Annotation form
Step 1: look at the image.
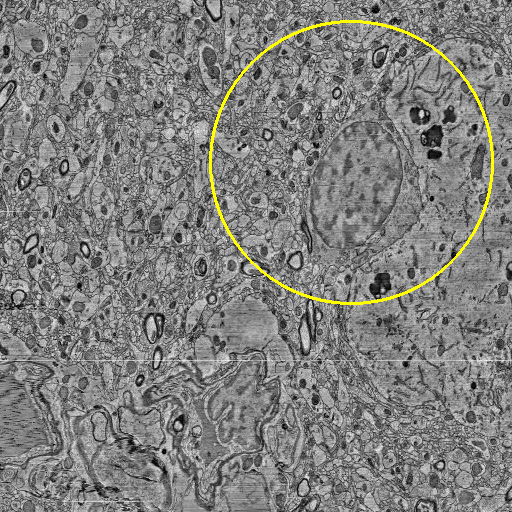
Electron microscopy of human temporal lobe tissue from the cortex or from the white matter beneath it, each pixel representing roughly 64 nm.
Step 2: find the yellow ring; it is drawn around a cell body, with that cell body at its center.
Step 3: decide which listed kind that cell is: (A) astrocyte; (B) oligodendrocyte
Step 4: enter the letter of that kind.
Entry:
B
